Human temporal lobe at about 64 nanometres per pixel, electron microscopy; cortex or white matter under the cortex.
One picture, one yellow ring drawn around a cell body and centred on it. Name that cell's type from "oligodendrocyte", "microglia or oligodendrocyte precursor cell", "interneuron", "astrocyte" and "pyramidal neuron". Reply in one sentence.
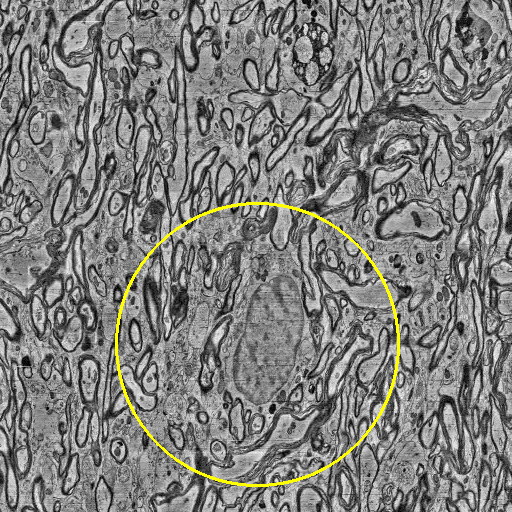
Centred in the ring is an oligodendrocyte.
